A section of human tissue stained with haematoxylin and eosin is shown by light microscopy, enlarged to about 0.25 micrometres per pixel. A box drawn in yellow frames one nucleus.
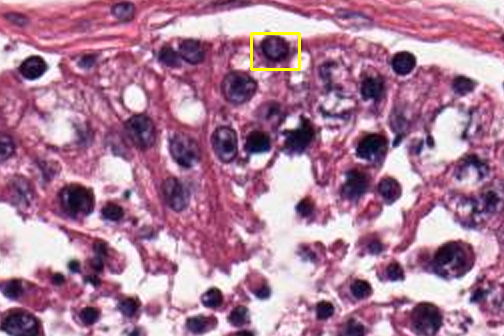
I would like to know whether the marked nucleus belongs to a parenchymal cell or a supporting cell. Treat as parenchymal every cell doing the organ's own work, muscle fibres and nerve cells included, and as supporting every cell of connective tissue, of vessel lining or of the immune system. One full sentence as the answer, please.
The marked nucleus belongs to one of the parenchymal cells, namely a spermatogonium.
